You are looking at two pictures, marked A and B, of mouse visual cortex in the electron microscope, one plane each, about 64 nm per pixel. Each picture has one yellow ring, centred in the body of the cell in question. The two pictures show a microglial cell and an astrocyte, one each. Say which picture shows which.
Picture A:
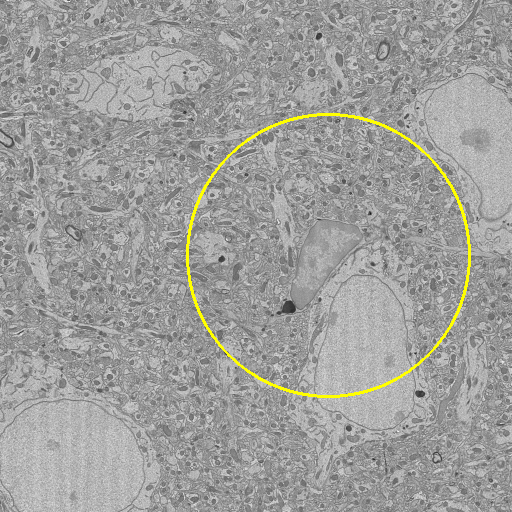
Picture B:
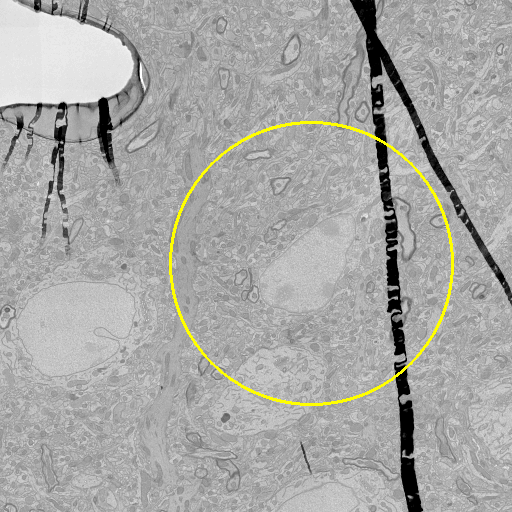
Picture A is of a microglial cell, and picture B is of an astrocyte.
